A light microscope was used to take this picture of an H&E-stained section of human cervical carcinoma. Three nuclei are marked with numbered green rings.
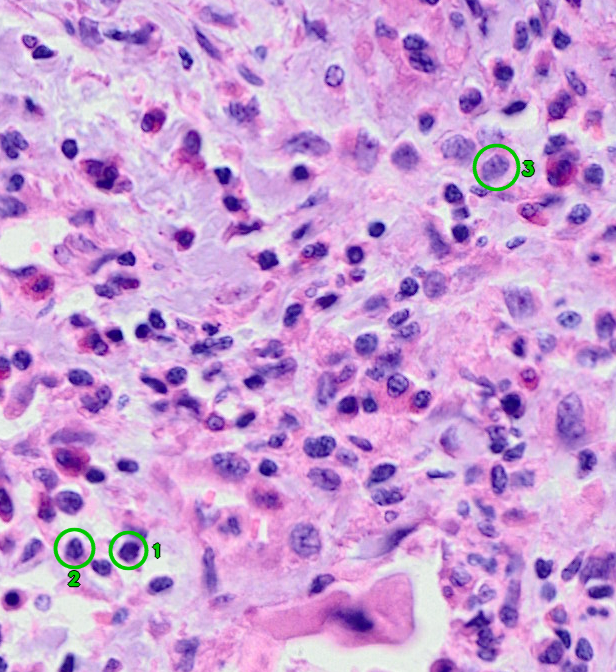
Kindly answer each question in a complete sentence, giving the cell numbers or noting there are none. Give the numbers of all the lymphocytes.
The cells carrying labels 1 and 2 are lymphocytes.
